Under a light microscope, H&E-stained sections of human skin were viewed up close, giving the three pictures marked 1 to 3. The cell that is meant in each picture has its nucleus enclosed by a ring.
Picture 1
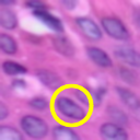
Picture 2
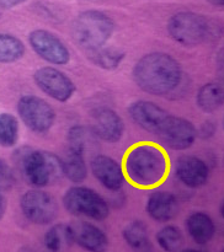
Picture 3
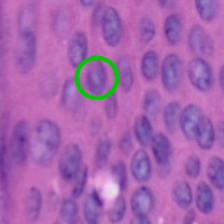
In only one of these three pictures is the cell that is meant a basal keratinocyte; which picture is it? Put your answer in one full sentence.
The basal keratinocyte is the one in picture 1.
